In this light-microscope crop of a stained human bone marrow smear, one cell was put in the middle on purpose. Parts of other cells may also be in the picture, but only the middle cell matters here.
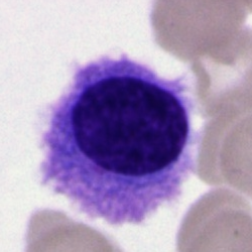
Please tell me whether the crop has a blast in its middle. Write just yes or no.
no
